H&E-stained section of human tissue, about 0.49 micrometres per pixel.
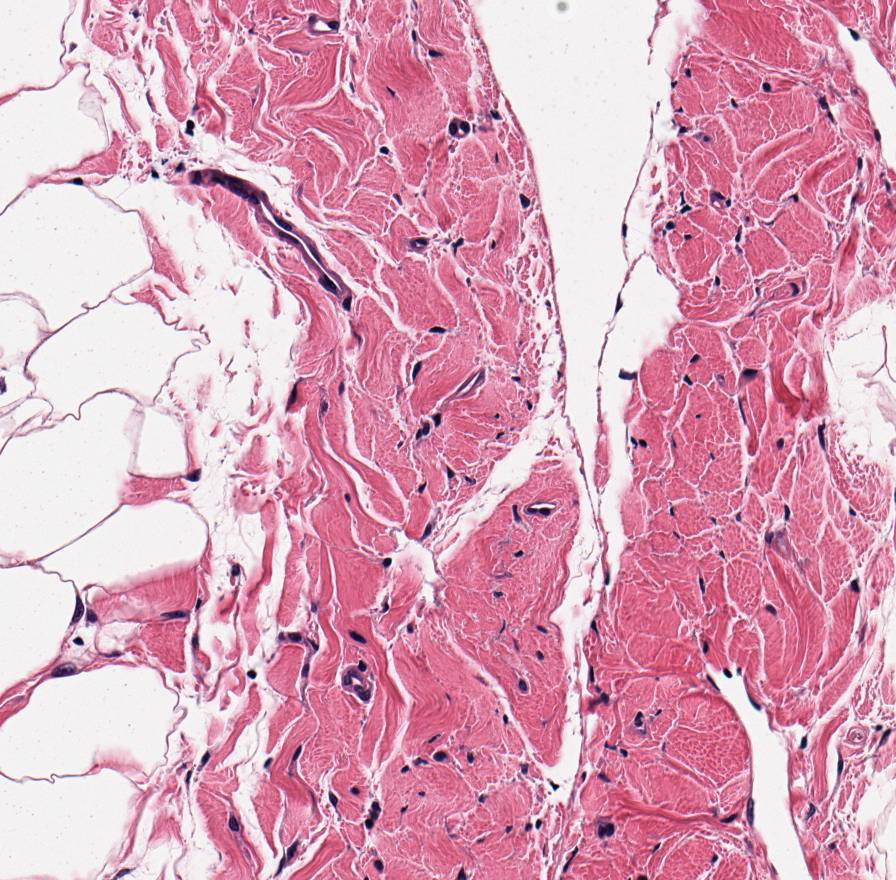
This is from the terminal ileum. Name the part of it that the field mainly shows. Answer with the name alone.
smooth muscle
